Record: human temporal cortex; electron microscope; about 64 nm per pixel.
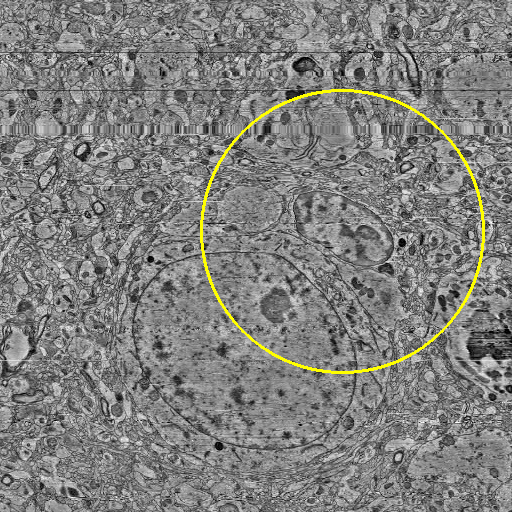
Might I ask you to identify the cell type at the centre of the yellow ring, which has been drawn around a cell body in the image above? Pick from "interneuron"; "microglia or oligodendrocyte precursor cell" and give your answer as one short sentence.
The centre of the ring falls on a microglial cell or oligodendrocyte precursor cell.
